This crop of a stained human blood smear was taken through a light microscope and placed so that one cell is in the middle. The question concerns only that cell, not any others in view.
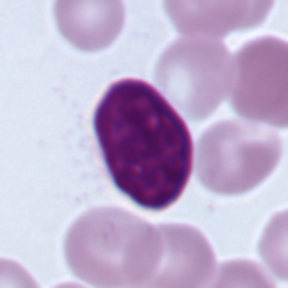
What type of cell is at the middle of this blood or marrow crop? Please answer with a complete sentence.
At the crop's centre, the cell is a smudge cell.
